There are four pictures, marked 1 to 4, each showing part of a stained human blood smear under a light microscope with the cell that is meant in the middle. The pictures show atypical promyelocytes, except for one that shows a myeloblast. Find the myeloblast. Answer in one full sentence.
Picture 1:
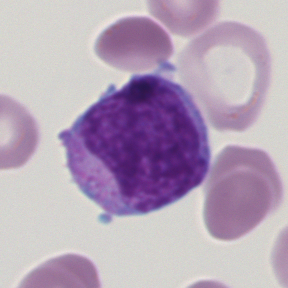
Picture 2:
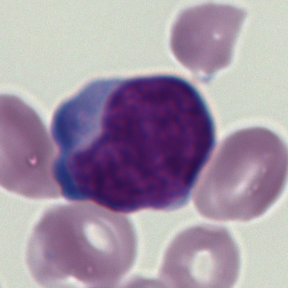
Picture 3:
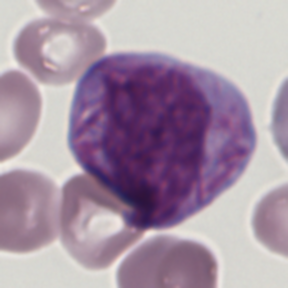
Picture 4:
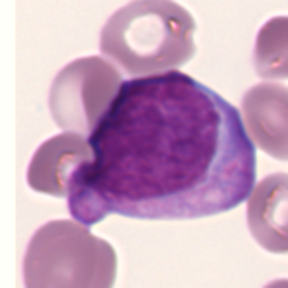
It is picture 2 that shows the myeloblast.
